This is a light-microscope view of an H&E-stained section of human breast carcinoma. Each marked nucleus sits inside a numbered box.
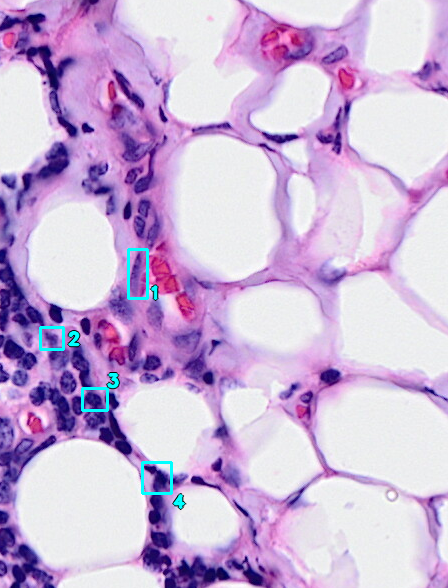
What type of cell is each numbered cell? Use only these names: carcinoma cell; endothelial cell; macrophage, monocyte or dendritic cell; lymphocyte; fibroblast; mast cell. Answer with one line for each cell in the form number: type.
1: endothelial cell
2: lymphocyte
3: lymphocyte
4: lymphocyte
